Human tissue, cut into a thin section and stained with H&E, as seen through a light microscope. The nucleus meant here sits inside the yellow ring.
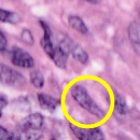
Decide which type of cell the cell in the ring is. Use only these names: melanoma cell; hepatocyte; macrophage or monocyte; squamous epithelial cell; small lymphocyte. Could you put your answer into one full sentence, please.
Considered by cell type, the cell in the ring is a melanoma cell.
